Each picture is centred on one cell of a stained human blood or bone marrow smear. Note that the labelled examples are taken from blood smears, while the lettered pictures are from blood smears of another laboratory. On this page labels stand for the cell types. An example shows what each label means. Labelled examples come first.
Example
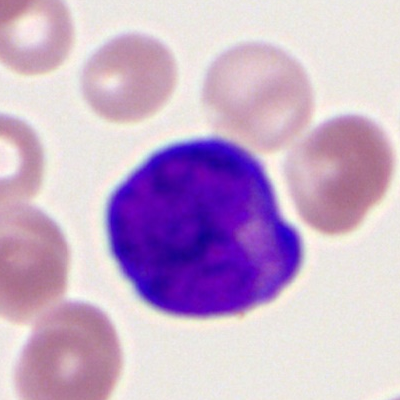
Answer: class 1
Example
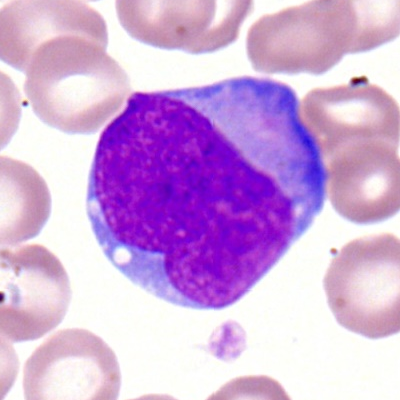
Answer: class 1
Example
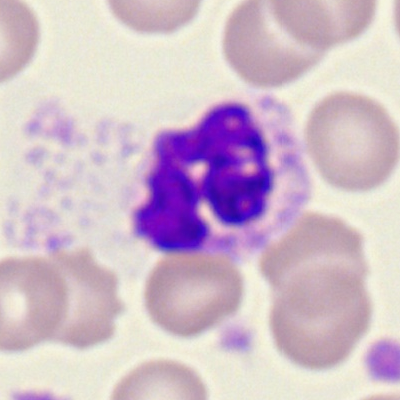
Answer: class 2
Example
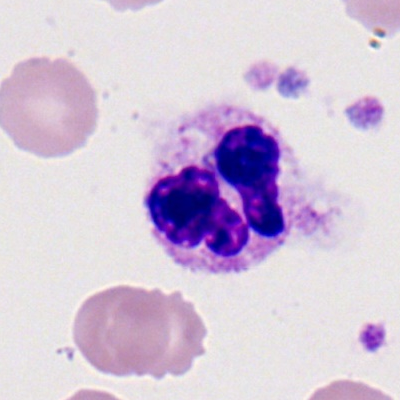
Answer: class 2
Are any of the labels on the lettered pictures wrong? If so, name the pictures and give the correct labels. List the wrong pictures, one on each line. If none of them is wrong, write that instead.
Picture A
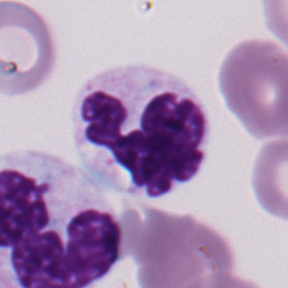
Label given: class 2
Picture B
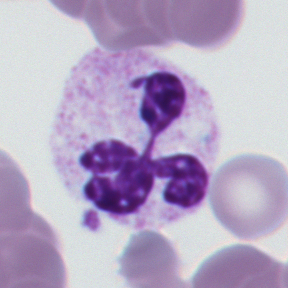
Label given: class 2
No label is wrong.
